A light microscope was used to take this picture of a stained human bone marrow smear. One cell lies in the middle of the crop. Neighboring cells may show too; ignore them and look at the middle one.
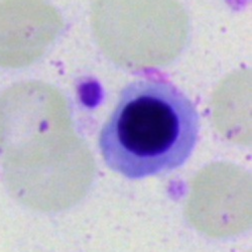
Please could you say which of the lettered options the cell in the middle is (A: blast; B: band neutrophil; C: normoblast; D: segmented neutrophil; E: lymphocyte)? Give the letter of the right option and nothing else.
C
